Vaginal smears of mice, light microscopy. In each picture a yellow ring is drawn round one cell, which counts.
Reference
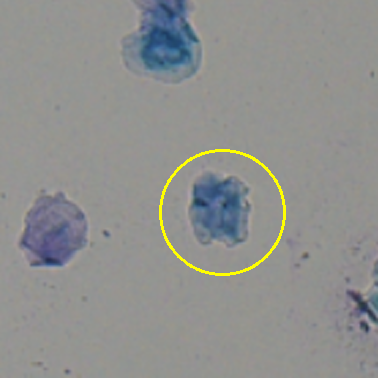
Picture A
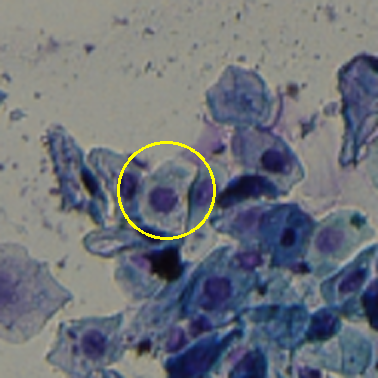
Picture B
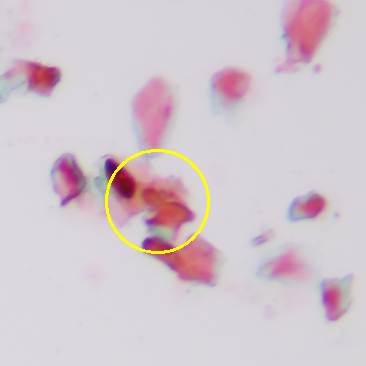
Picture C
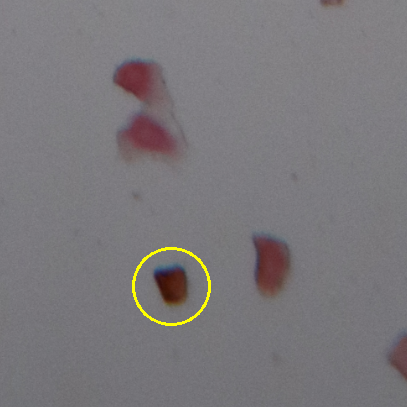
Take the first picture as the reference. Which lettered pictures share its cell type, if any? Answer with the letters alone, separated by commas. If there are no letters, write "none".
B, C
